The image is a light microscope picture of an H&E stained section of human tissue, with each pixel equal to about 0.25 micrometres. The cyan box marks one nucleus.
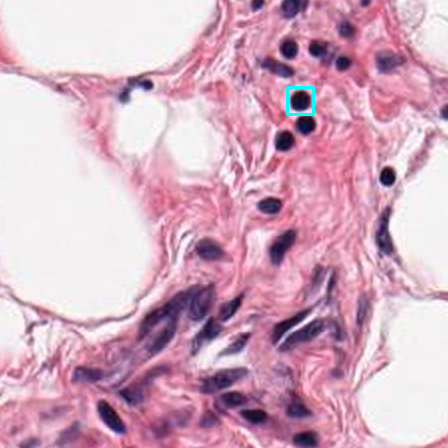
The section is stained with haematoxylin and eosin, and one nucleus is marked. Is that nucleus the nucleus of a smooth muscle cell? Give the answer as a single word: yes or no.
no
